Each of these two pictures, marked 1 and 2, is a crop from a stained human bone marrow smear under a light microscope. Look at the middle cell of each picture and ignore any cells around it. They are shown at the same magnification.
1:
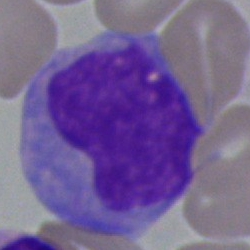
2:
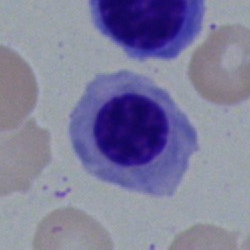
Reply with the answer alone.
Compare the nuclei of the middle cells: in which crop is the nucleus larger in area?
1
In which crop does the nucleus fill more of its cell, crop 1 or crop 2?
1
